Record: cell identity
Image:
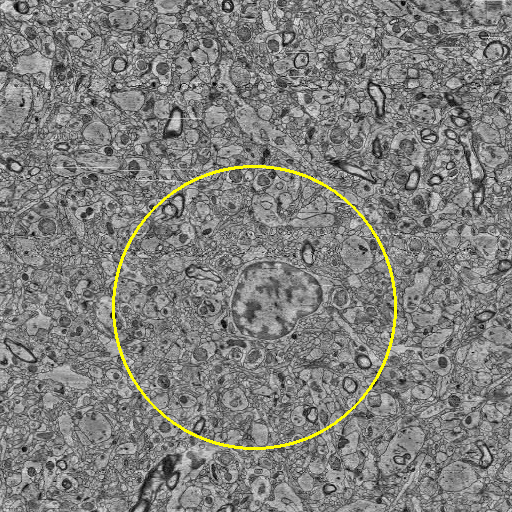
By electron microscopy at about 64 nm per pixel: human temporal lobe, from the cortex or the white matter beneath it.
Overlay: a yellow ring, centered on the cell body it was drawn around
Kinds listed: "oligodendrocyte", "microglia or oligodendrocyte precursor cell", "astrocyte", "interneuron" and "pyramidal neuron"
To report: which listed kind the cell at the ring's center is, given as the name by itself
microglia or oligodendrocyte precursor cell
